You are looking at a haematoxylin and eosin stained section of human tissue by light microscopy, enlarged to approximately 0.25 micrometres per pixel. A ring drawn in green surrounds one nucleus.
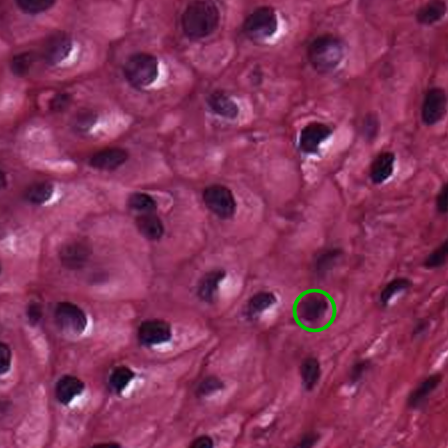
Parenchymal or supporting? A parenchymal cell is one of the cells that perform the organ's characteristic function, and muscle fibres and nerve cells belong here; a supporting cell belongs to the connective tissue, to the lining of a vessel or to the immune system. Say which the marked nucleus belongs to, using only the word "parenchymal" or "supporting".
parenchymal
